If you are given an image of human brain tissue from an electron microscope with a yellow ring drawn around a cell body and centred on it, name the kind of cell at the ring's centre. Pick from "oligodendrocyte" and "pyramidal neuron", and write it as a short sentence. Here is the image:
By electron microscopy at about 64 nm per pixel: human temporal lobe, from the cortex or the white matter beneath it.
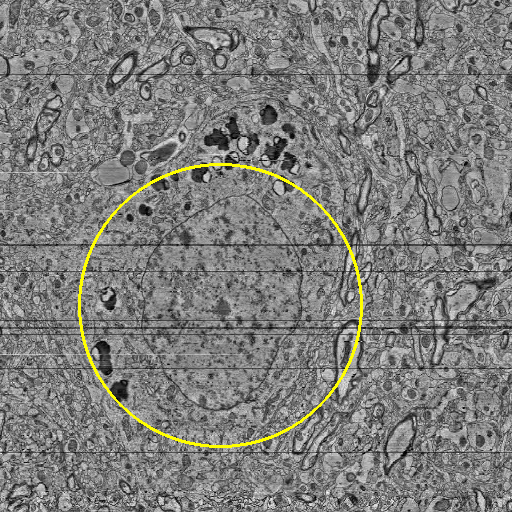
The cell at the ring's centre is a pyramidal neuron.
